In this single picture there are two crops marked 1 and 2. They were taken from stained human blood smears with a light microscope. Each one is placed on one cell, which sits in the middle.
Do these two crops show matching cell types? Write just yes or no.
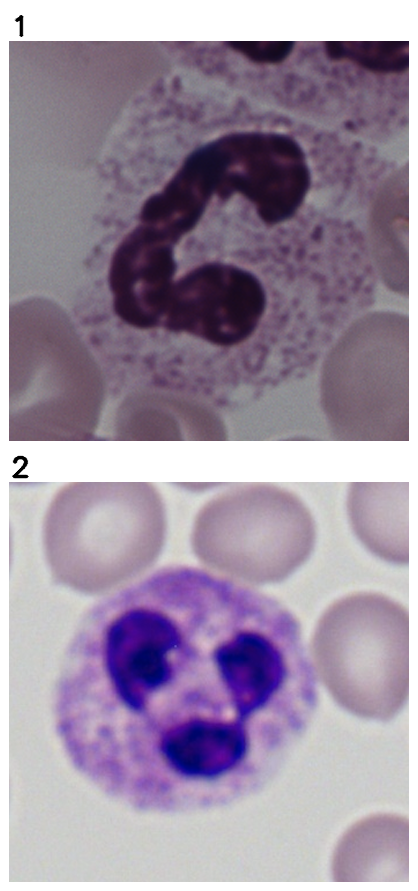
yes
